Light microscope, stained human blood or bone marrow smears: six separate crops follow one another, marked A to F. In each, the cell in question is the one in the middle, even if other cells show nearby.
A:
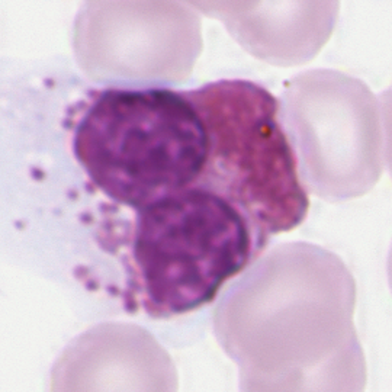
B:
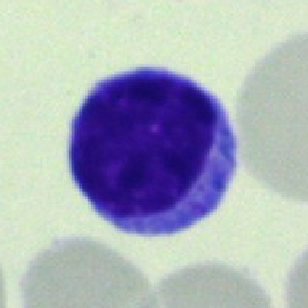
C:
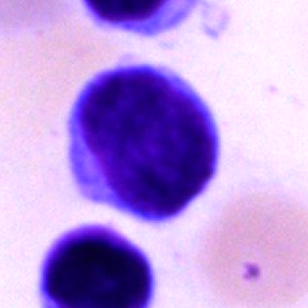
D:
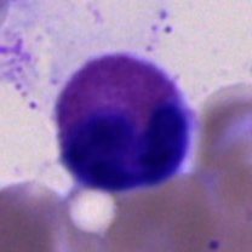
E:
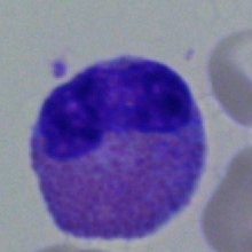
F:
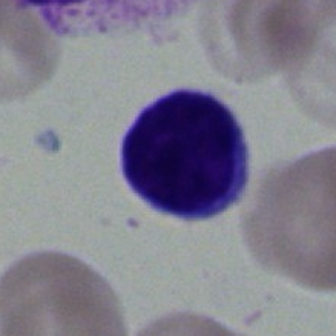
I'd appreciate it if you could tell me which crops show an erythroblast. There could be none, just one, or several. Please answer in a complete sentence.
Every crop centres on a cell other than an erythroblast.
